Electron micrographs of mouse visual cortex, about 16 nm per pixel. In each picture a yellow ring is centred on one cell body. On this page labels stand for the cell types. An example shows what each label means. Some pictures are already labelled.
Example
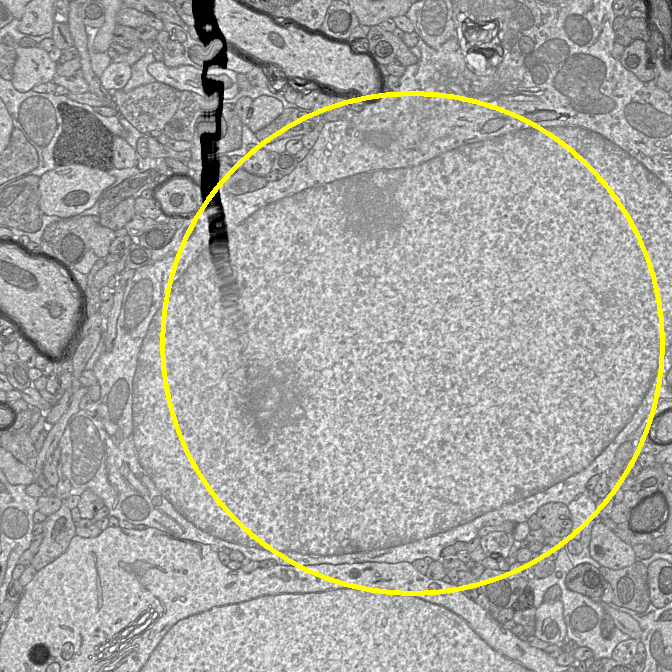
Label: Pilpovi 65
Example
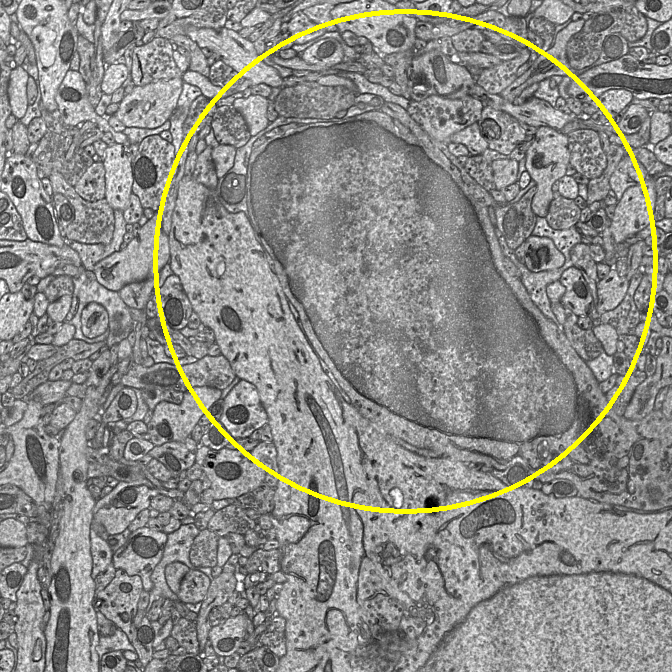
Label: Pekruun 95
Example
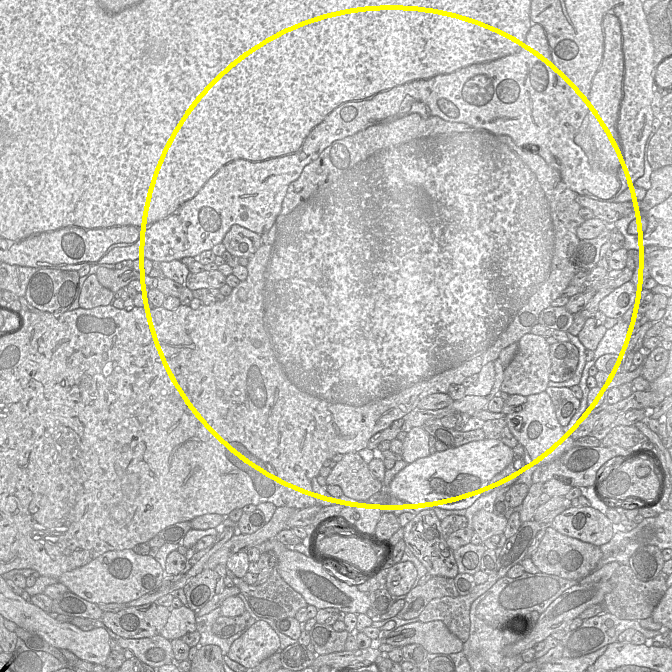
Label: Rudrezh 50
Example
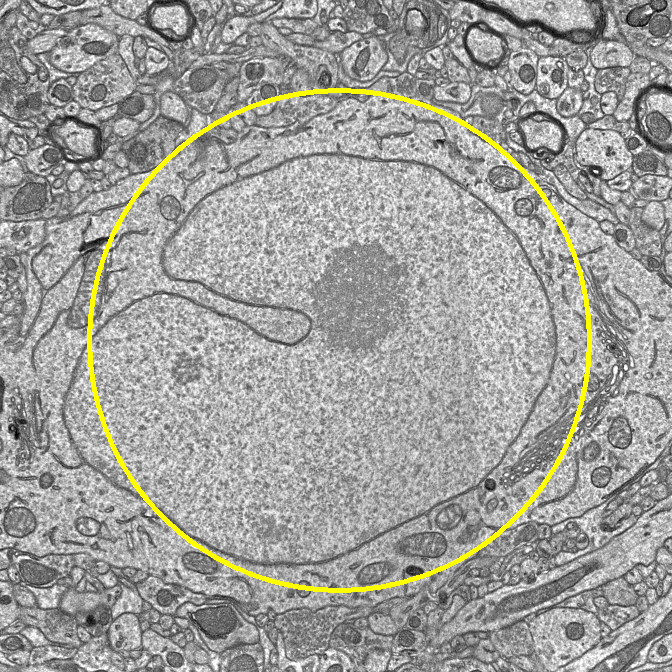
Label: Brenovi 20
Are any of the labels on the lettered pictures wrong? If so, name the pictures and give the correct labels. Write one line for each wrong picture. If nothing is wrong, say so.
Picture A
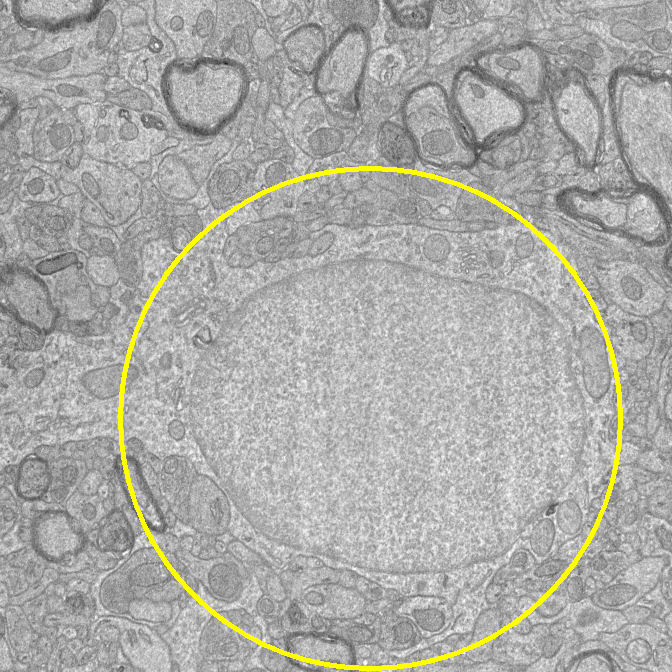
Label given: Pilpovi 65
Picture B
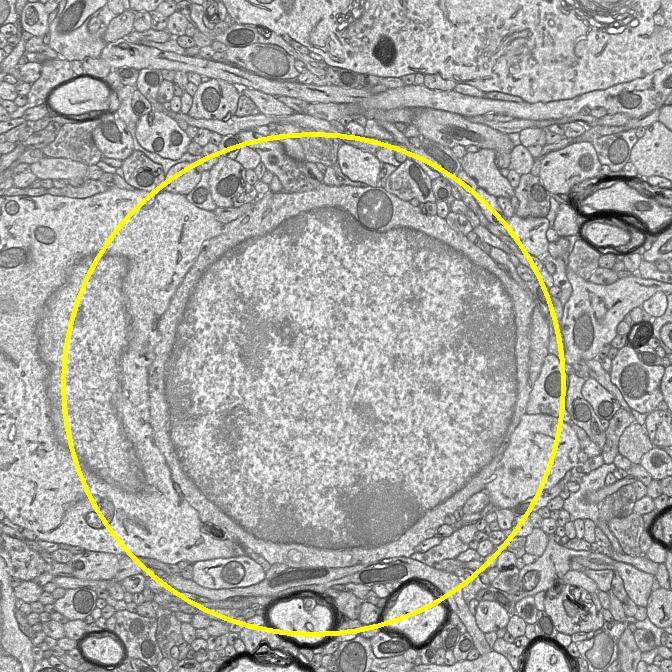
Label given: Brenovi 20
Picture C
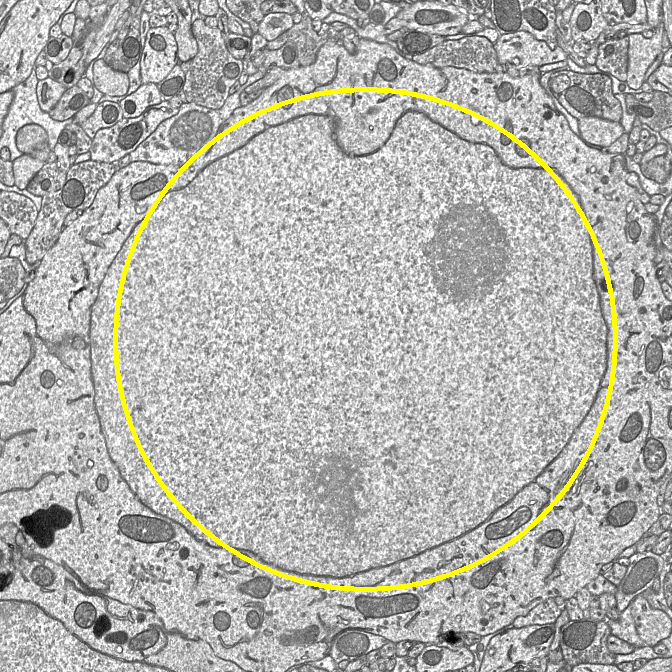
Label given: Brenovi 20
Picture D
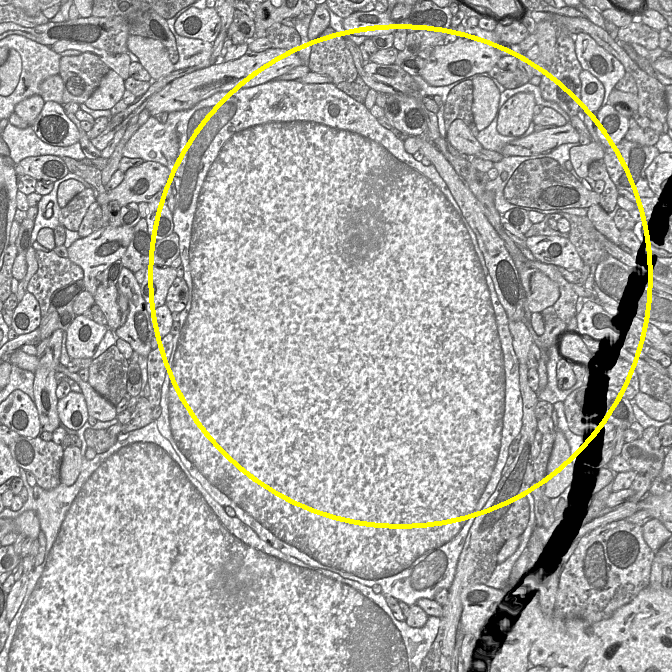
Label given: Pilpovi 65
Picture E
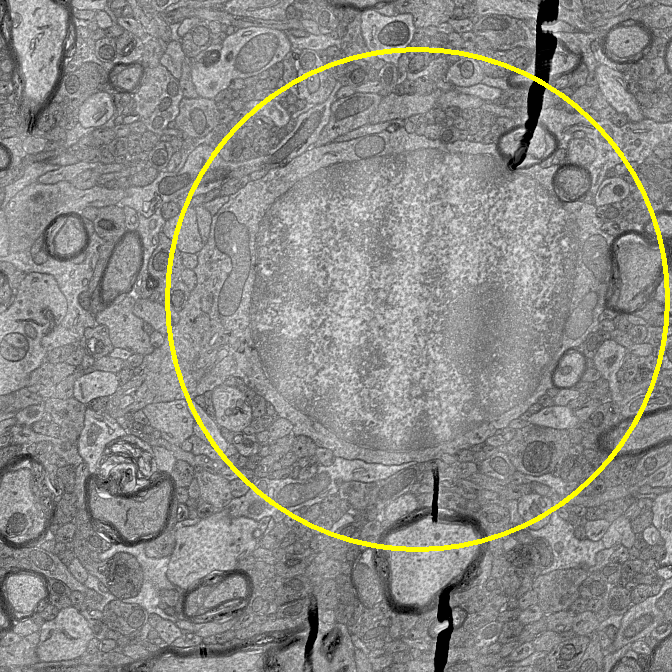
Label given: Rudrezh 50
B should be Rudrezh 50, not Brenovi 20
